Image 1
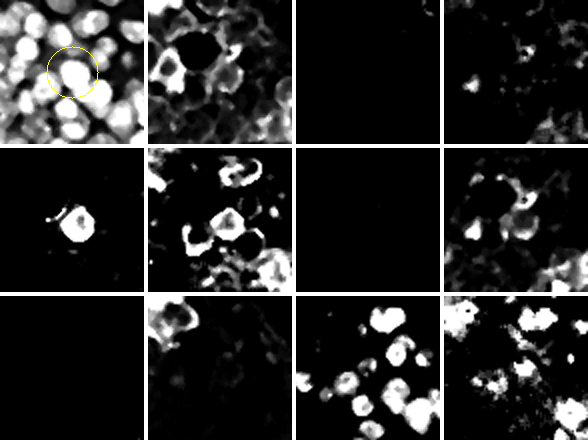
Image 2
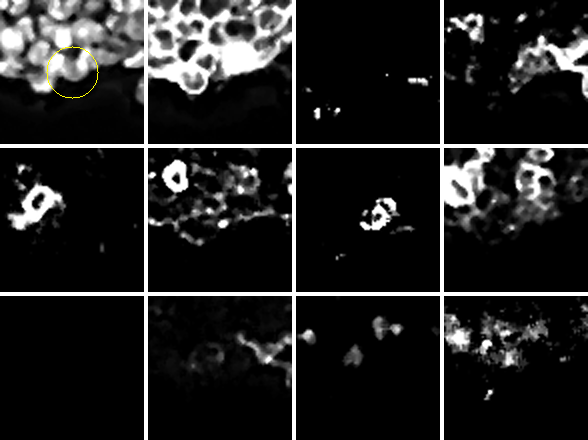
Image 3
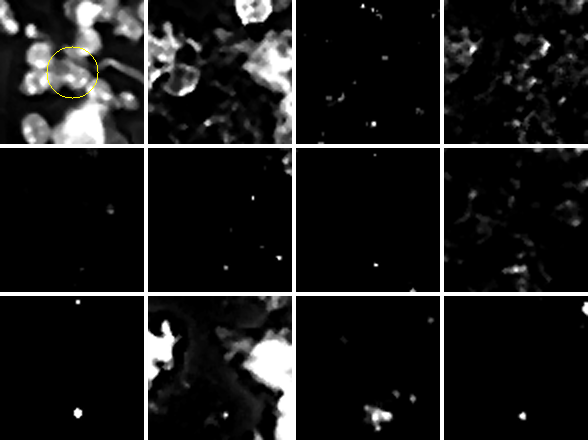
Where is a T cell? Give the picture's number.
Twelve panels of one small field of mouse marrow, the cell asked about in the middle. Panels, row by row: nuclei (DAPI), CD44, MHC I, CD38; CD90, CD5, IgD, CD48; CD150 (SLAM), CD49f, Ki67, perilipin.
1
